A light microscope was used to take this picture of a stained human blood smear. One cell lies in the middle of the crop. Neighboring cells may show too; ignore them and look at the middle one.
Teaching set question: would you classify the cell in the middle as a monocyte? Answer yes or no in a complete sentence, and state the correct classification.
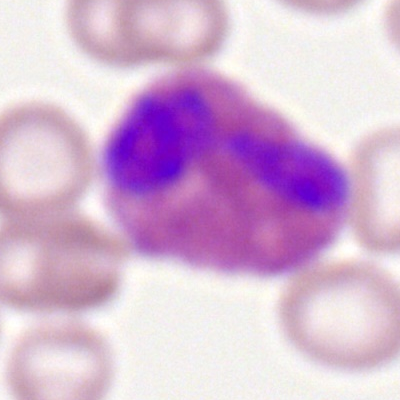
No, in the centre of the crop lies an eosinophil, not a monocyte.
